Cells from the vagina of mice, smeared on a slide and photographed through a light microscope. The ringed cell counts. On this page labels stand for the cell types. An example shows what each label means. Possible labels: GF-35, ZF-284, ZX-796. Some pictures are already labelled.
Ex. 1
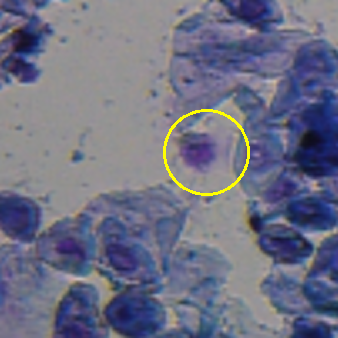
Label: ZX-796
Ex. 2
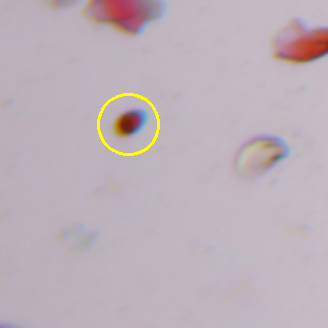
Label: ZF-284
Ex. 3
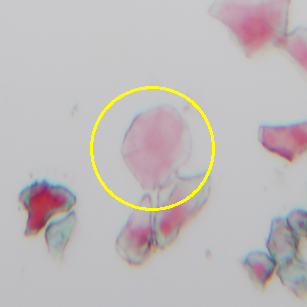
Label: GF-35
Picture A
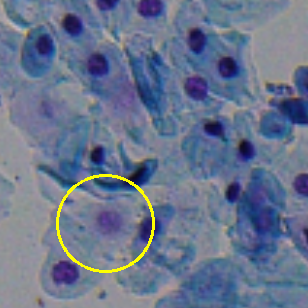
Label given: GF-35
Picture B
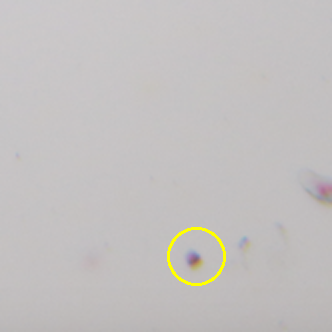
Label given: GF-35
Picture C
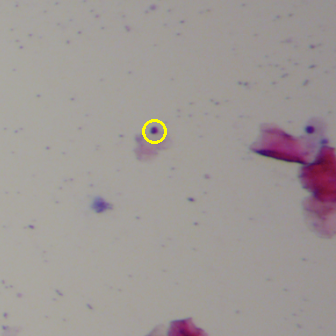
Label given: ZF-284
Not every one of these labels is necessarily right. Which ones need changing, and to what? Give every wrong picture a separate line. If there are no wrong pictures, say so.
A is labelled GF-35; correct label: ZX-796
B is labelled GF-35; correct label: ZF-284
